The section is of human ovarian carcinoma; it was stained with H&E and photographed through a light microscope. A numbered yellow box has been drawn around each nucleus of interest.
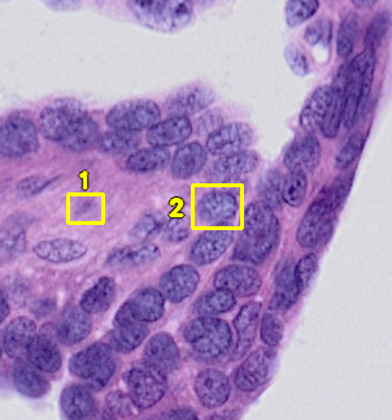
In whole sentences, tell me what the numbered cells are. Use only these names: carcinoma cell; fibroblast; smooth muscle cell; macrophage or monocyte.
Cell 1 is a fibroblast. Cell 2 is a carcinoma cell.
